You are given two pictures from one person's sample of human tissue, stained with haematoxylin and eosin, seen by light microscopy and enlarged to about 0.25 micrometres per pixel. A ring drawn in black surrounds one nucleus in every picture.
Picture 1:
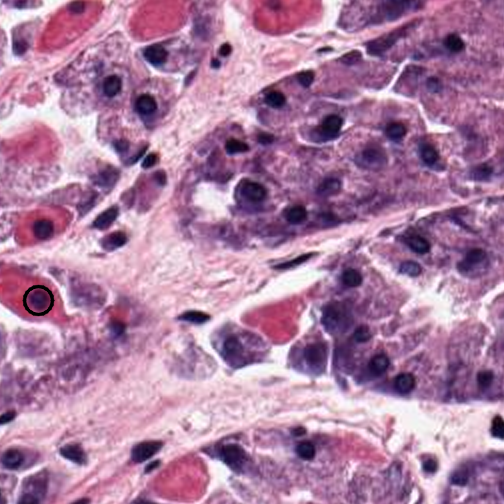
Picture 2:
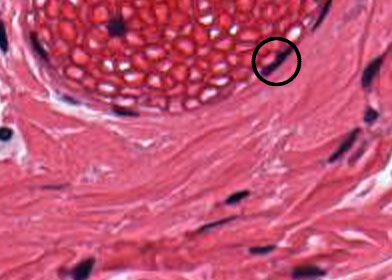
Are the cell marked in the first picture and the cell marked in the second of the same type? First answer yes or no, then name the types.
No, the first is a parietal cell and the second an endothelial cell.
